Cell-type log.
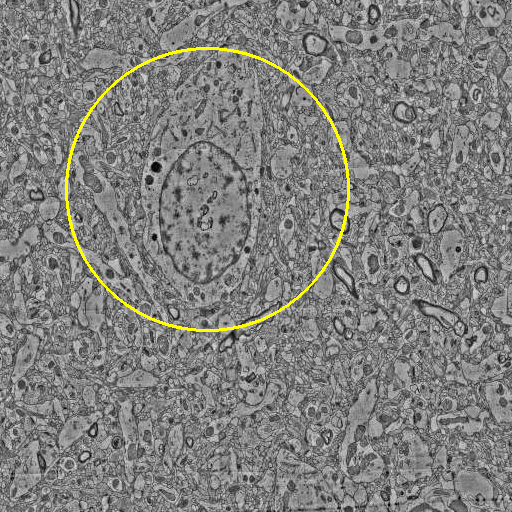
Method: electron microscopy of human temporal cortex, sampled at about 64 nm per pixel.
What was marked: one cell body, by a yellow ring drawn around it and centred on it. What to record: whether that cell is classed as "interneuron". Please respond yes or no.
No, the cell belongs to another class.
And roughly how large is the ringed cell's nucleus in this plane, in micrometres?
The ringed cell's nucleus is roughly 9 by 6 micrometres and clearly longer than it is wide in this plane.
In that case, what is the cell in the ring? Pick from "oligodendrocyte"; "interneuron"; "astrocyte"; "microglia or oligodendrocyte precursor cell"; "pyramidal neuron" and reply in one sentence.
The ring holds a pyramidal neuron at its centre.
